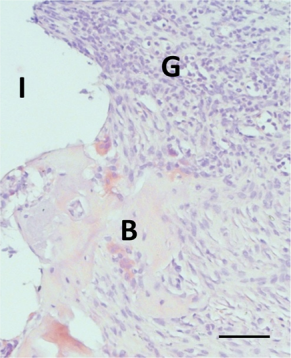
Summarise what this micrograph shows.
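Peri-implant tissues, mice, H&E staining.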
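The soft tissue of the gum in the upper half is packed with many small cells whose round and oval dark purple nuclei sit close together in a pale, loose connective tissue. Below it lies pale pink bone with a less even, partly fragmented look, and scattered nuclei within it.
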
